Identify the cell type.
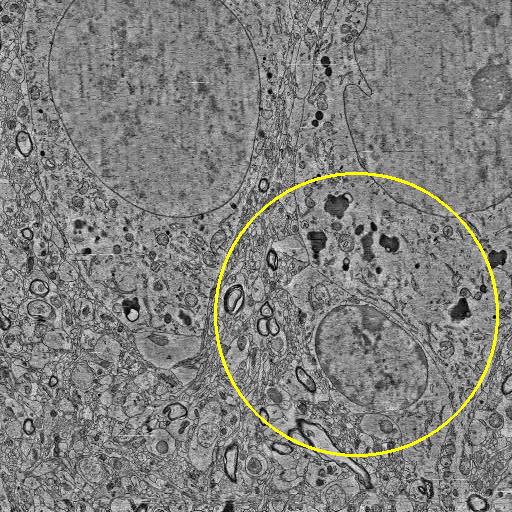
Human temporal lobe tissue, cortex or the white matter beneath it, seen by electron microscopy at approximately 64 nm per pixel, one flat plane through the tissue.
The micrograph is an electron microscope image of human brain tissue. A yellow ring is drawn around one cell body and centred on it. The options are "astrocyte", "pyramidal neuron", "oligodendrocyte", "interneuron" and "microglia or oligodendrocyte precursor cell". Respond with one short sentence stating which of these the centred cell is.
The cell body in the ring belongs to a microglial cell or oligodendrocyte precursor cell.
